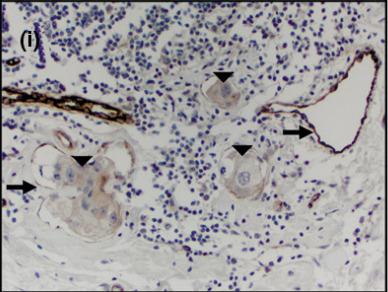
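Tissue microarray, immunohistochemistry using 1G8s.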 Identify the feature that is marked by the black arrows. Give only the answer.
vessels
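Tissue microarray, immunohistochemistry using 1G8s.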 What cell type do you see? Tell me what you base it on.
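Much of the field is packed with small round cells with dark blue nuclei and scant cytoplasm.
Hence: lymphocytes.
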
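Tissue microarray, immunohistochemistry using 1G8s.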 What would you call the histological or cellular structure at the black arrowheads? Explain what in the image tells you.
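Tumor emboli. The clusters lie within spaces surrounded by a thin wall.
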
